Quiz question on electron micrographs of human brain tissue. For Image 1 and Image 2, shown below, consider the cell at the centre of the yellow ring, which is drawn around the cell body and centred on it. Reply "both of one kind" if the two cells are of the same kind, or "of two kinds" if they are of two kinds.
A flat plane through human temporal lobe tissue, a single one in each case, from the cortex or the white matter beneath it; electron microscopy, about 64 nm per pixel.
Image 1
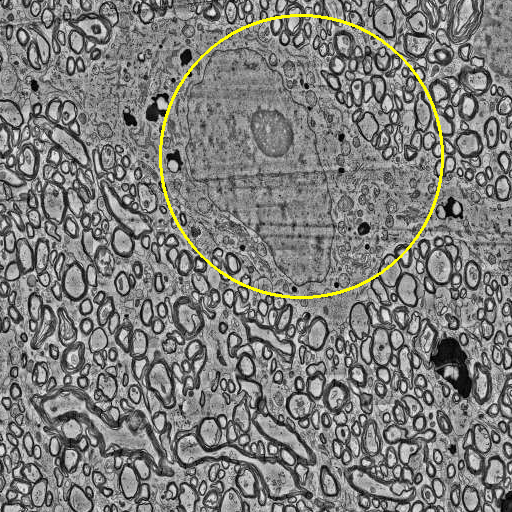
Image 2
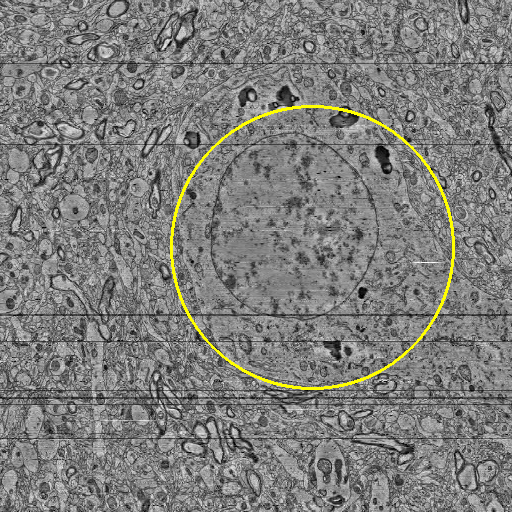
both of one kind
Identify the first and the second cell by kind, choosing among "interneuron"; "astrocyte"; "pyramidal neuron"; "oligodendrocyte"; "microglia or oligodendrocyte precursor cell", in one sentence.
The second cell is a pyramidal neuron, just as the first is.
